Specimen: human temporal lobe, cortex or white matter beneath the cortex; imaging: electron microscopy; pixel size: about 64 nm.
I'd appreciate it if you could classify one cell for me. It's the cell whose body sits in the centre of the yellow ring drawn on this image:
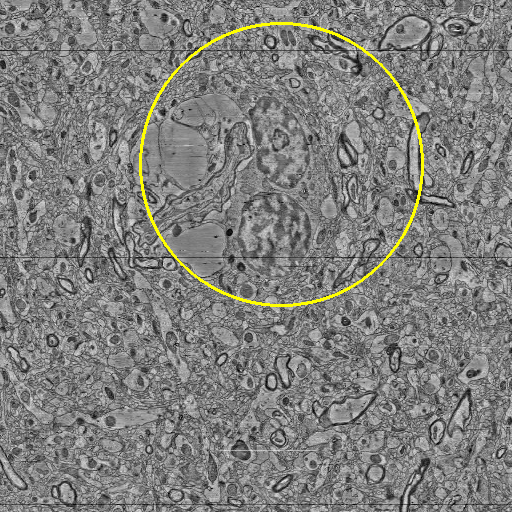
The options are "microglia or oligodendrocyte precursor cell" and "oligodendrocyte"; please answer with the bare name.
oligodendrocyte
